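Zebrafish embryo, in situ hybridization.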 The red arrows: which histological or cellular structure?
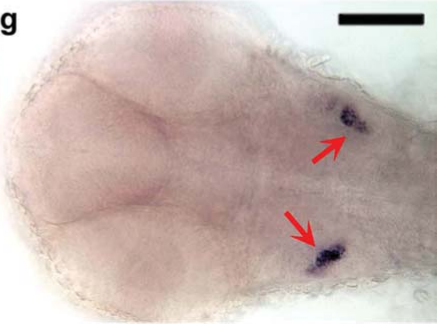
otic vesicle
